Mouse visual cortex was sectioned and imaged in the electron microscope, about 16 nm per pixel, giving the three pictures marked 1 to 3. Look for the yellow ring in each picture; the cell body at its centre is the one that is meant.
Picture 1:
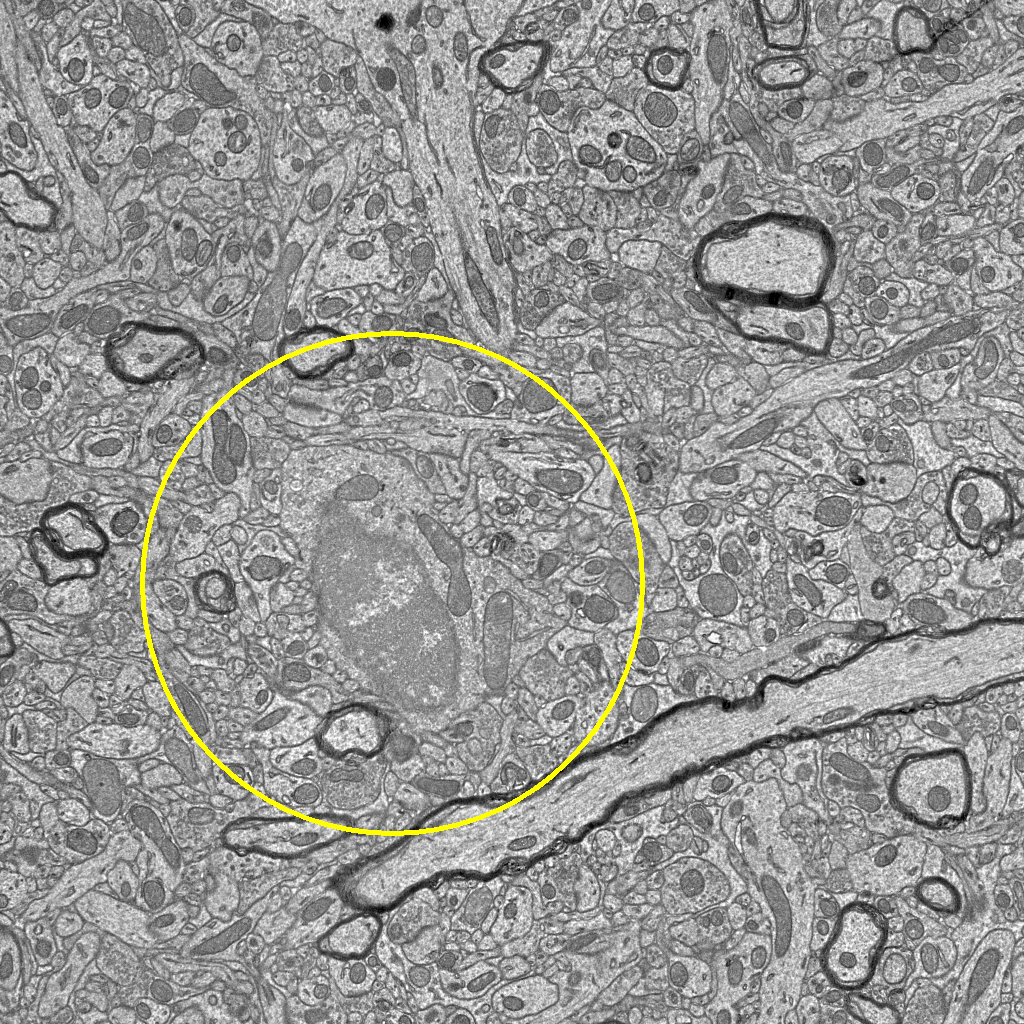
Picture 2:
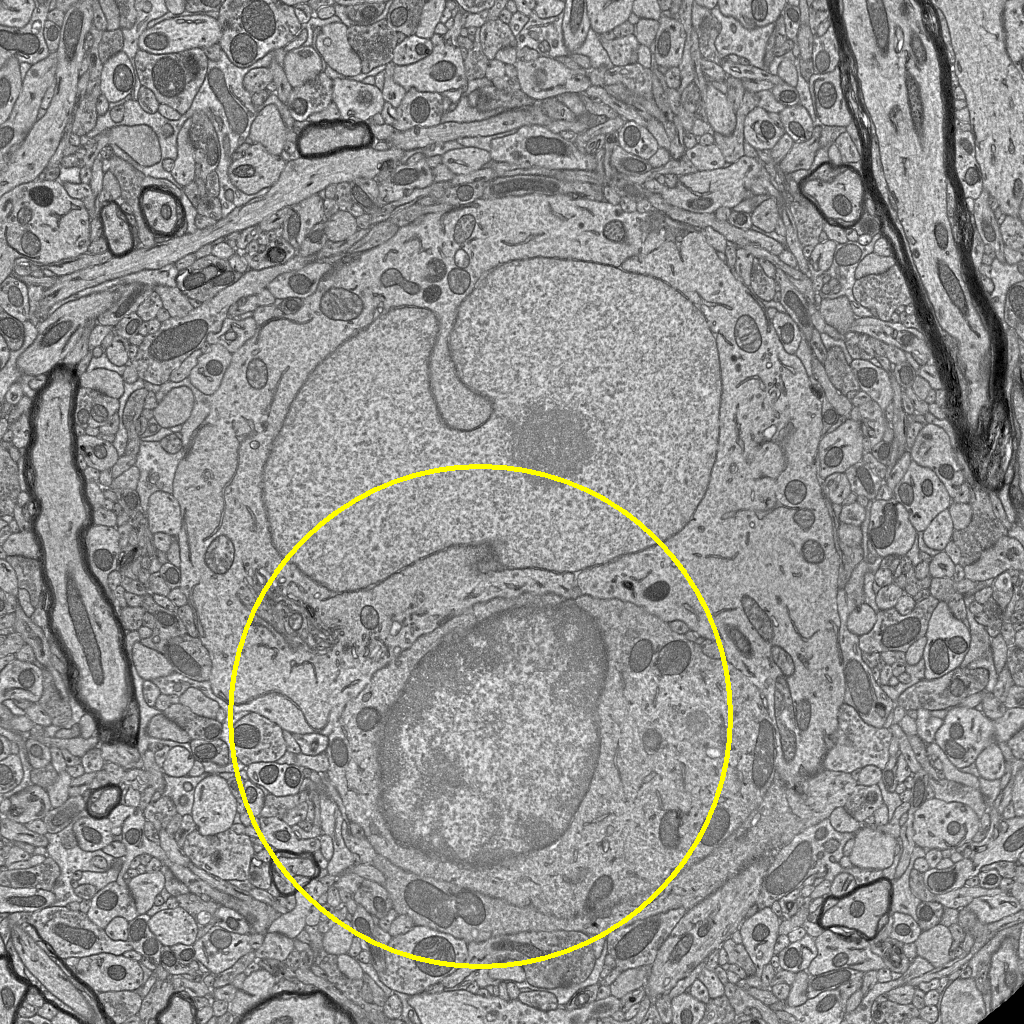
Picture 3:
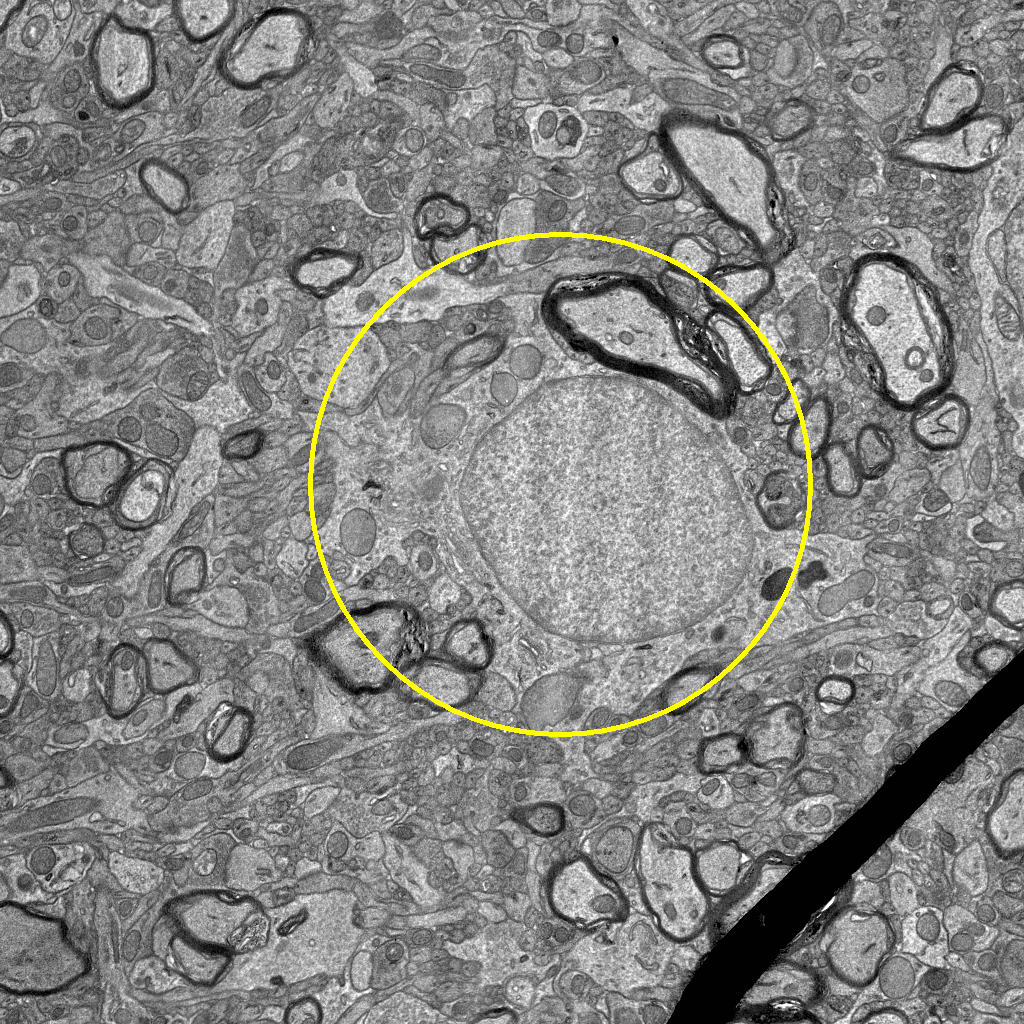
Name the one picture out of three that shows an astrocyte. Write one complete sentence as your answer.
It is picture 3 that shows the astrocyte.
